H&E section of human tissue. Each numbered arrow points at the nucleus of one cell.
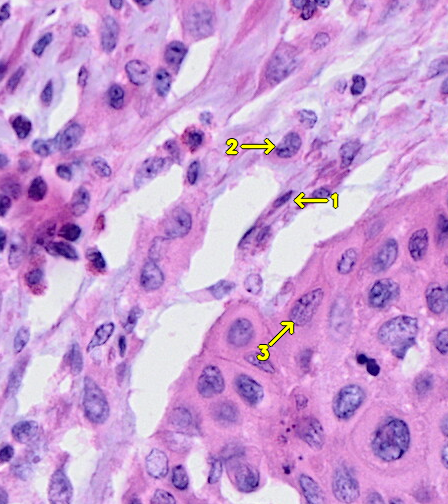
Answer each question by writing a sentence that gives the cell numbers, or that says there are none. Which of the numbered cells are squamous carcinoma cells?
The numbered cell that is a squamous carcinoma cell is cell 3, and it is the only one.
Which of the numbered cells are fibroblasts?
A single numbered cell, cell 1, is a fibroblast.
